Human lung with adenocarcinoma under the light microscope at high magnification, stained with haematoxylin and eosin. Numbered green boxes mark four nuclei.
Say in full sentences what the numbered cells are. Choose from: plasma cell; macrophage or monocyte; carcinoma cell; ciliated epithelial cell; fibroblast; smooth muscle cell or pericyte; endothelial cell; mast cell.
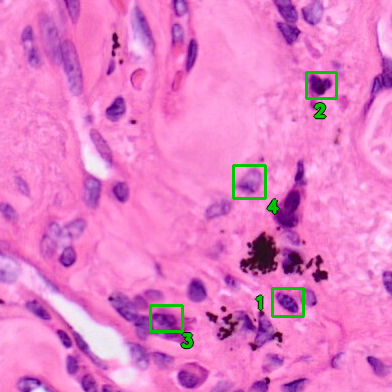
Cell 1 is a mast cell, cell 2 is a plasma cell, cell 3 is a plasma cell and cell 4 is a fibroblast.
